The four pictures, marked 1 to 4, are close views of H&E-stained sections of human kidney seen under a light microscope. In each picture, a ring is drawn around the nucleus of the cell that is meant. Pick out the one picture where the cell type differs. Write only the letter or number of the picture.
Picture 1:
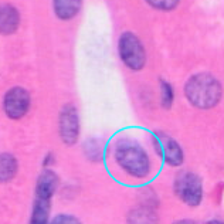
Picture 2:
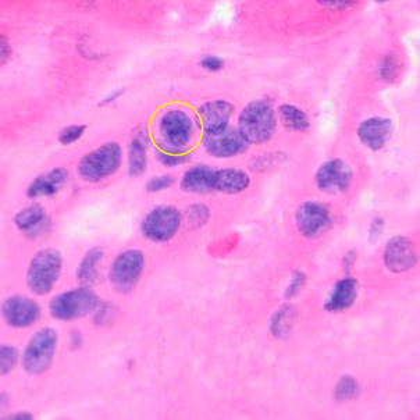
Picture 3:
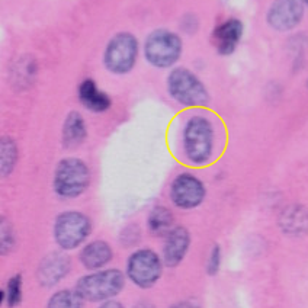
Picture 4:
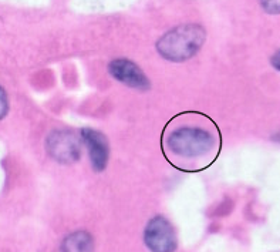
4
